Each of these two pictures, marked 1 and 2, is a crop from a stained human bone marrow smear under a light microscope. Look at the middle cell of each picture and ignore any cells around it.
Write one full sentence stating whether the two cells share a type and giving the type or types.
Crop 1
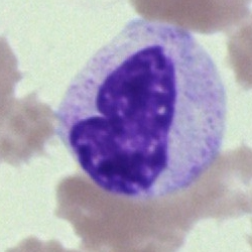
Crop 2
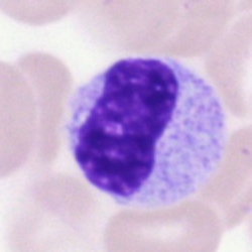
Yes, the central cells, in both crops, are metamyelocytes.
